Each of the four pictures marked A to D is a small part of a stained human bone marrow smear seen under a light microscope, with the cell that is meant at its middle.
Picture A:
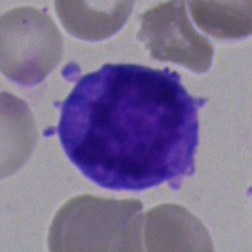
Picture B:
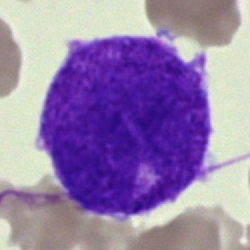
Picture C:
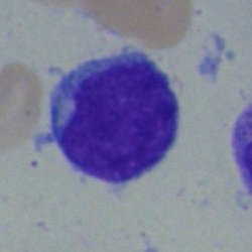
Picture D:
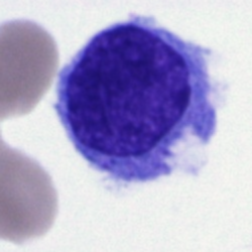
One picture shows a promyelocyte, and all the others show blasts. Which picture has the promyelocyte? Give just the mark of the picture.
A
